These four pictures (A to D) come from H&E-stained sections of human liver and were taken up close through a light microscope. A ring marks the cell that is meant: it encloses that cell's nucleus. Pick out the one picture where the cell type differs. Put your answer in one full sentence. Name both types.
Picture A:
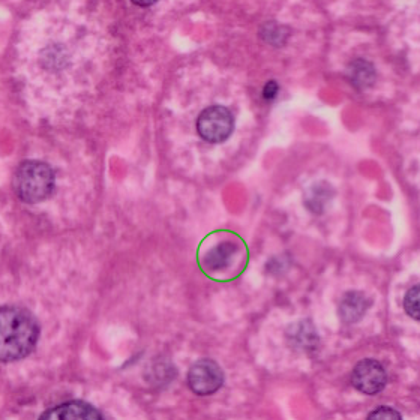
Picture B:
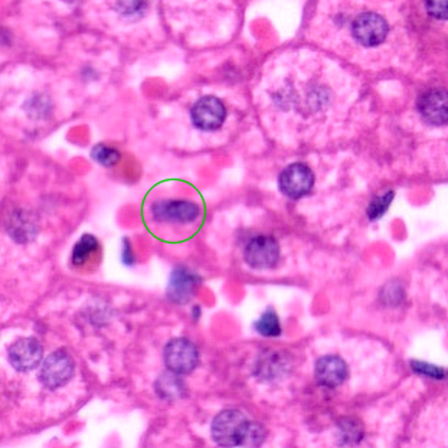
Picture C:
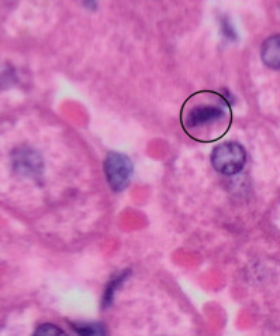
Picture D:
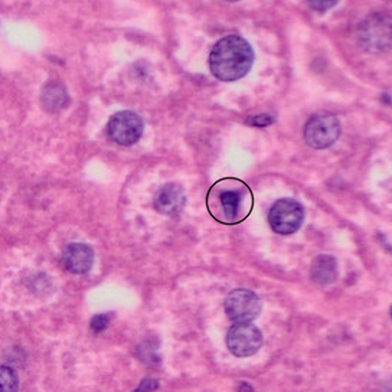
Picture A differs, because its cell is a Kupffer cell and the rest are “fibroblasts or stellate cells”.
